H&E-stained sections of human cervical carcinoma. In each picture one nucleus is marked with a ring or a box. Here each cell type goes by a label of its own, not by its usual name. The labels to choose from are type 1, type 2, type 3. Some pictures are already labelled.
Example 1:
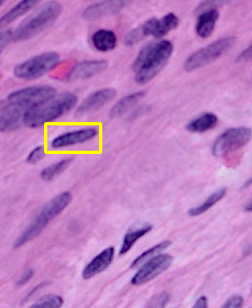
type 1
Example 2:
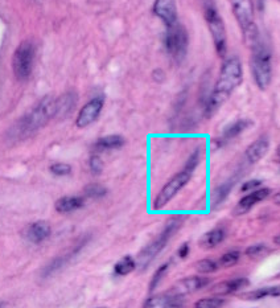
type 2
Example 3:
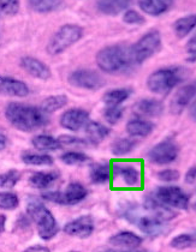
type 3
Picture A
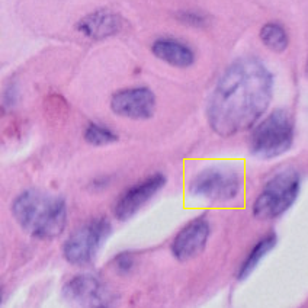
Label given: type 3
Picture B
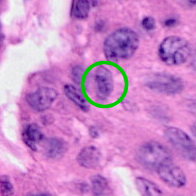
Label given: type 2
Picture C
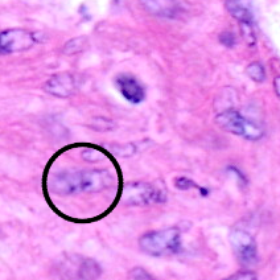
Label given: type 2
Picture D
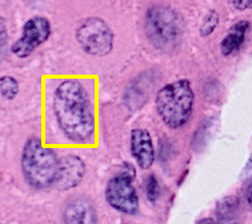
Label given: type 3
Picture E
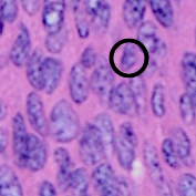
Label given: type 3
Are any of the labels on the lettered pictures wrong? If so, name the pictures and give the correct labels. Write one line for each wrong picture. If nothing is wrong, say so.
B: change type 2 to type 3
